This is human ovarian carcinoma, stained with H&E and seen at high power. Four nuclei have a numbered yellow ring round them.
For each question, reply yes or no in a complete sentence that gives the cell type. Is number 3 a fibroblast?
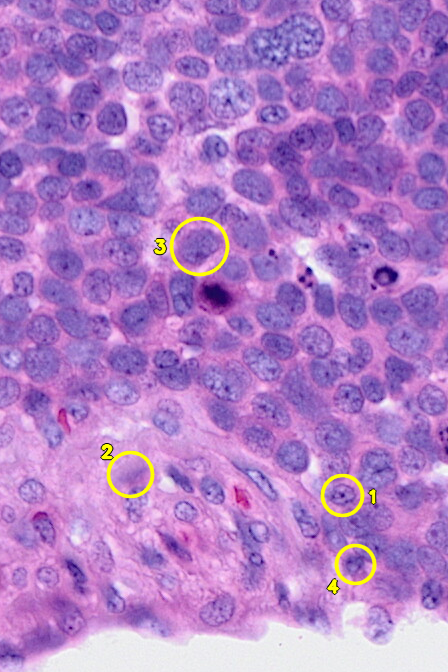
No, number 3 is assigned to a carcinoma cell, not to a fibroblast.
